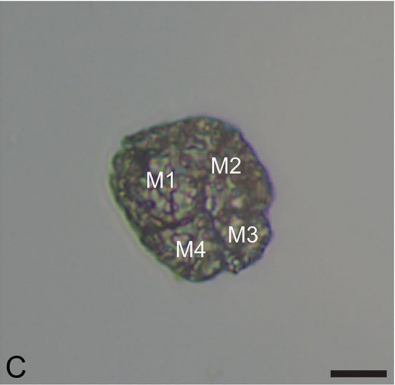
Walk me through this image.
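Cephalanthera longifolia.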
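This is a single pollen tetrad: four pollen grains still stuck together in one compact, roughly rounded cluster. The grains are packed side by side in one plane, separated by thin dividing walls that run towards the centre of the cluster. The outline of the whole cluster is fairly smooth, with only shallow notches where the grains meet at the edge.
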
